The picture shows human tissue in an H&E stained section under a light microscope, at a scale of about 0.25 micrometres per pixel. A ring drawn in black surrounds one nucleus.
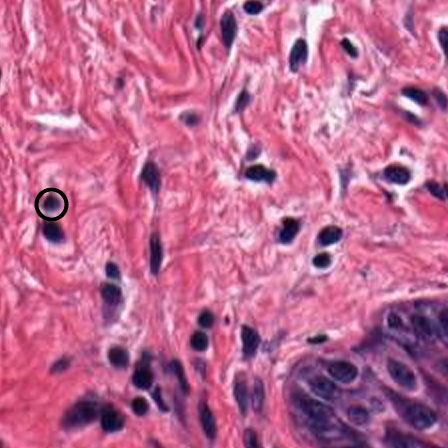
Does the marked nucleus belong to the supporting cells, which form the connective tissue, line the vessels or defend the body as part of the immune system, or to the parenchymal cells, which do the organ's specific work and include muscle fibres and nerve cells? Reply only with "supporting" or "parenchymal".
supporting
